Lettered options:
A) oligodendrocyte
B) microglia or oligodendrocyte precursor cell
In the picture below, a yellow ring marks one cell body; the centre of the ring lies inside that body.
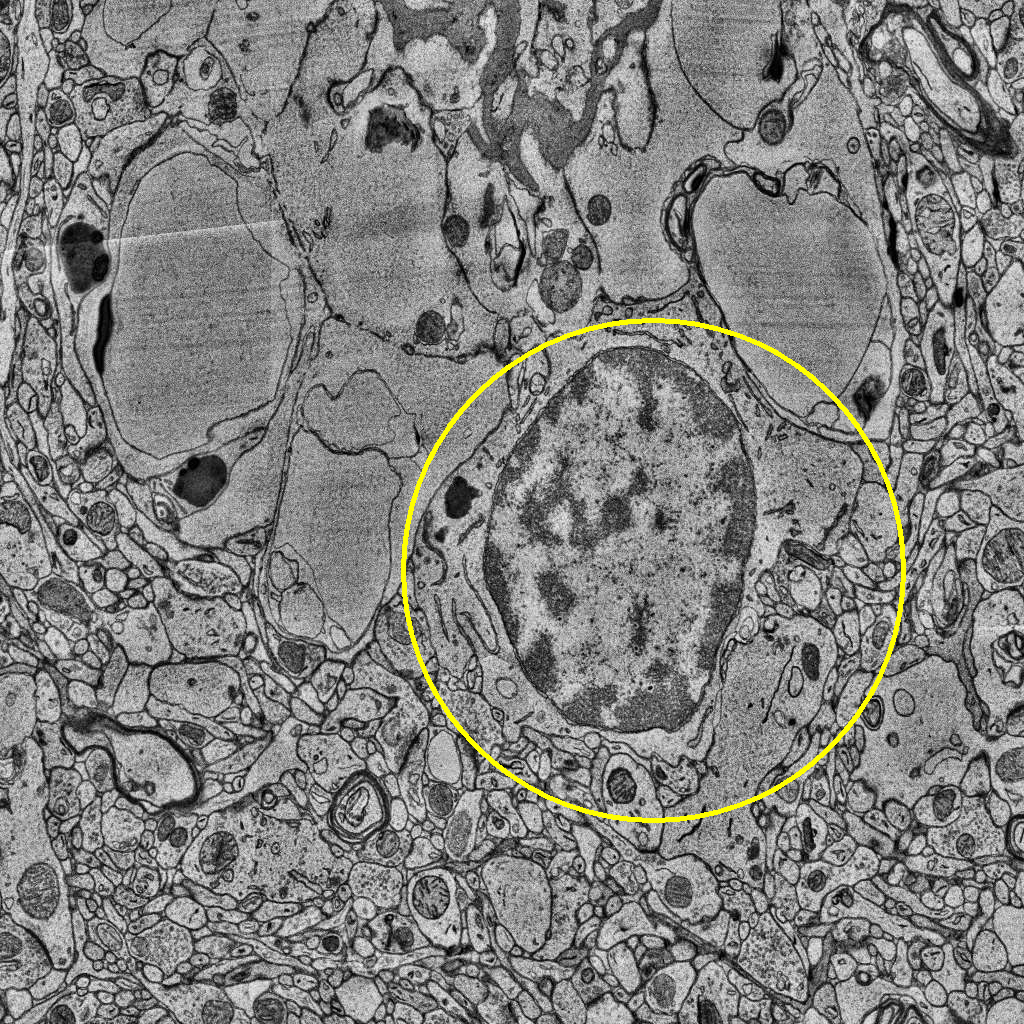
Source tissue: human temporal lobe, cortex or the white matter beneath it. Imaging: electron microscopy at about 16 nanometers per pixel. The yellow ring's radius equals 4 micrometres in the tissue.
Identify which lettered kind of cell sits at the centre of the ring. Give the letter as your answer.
B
